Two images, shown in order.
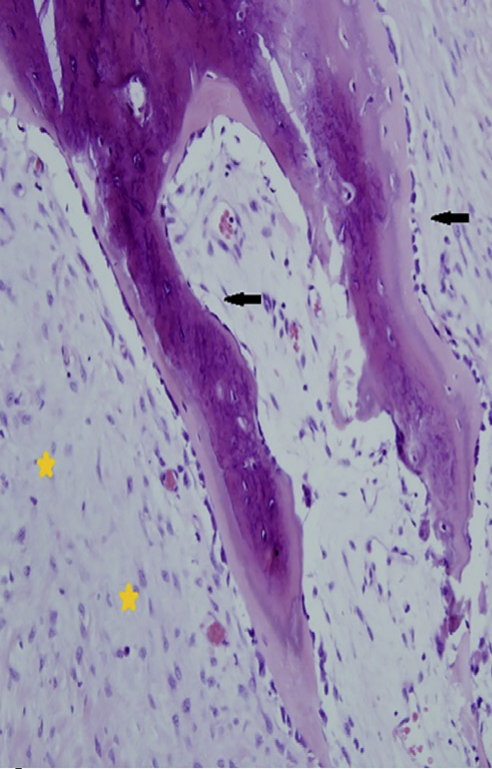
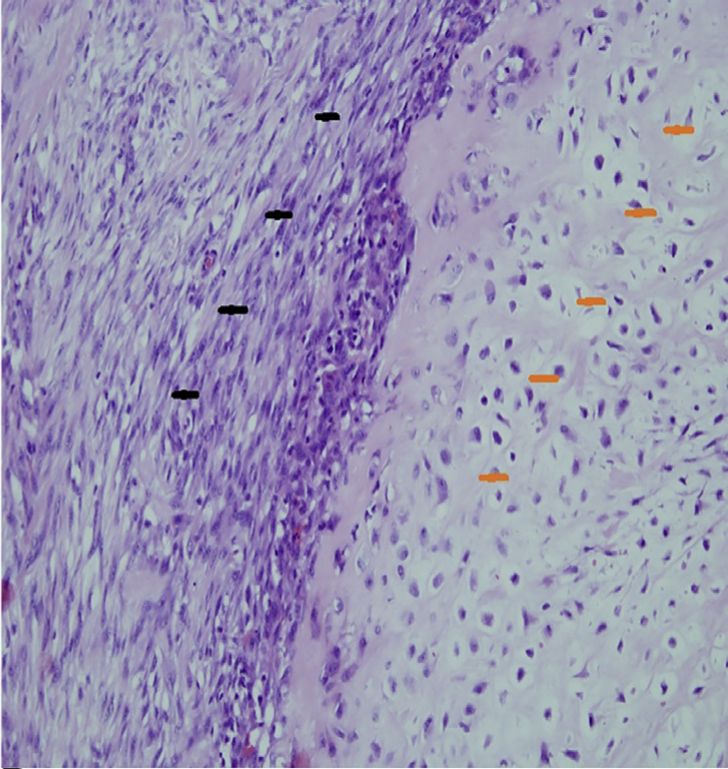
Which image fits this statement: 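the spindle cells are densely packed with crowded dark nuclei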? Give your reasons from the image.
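Second image: a broad band of tightly crowded spindle cells with dark nuclei. First image: spindle cells lie sparsely in a pale loose stroma. So: the second image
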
